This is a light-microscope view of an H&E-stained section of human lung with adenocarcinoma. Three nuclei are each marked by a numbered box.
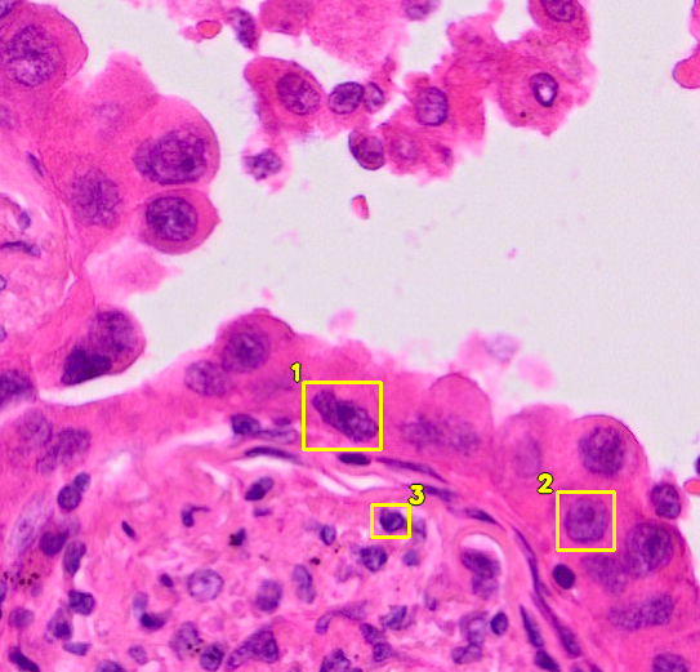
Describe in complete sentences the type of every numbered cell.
Cells 1 and 2 are carcinoma cells. Cell 3 is a lymphocyte.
